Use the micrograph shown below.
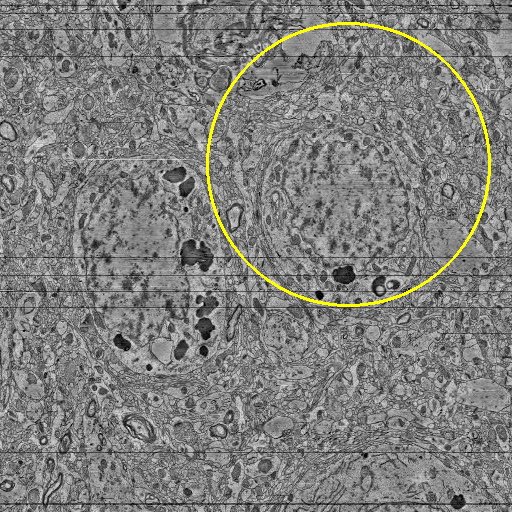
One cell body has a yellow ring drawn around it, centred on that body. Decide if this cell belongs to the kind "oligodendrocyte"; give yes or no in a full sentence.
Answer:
No, the cell lying at the ring's centre in the micrograph is of another kind.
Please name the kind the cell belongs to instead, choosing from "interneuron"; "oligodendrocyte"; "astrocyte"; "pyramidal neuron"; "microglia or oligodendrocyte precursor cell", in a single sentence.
The ring's central cell is an interneuron instead.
